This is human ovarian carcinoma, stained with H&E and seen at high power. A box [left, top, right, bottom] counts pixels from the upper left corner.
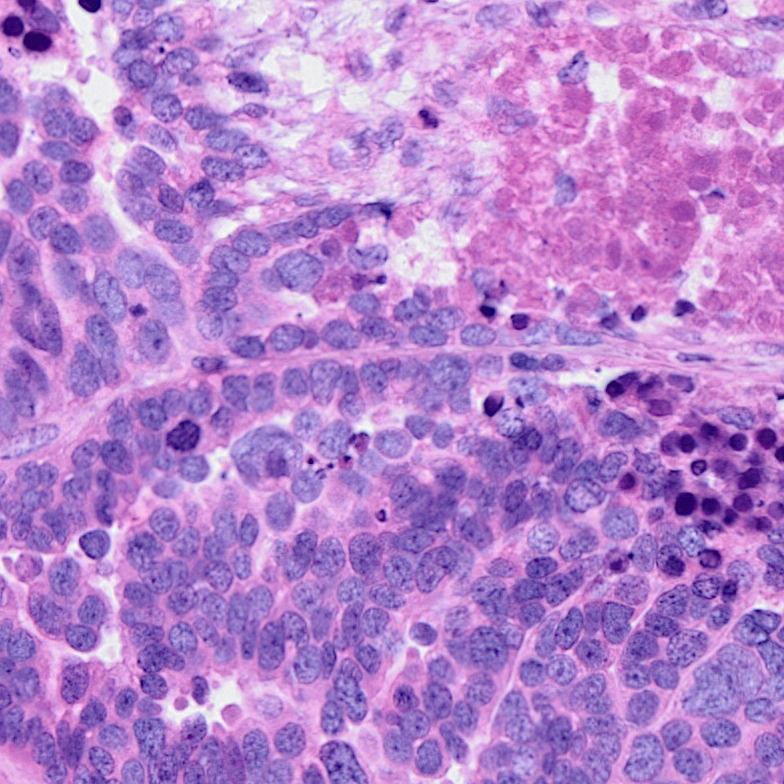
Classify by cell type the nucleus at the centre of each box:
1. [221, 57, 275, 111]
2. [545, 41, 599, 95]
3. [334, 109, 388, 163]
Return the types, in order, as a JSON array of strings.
["macrophage or monocyte", "macrophage or monocyte", "fibroblast"]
